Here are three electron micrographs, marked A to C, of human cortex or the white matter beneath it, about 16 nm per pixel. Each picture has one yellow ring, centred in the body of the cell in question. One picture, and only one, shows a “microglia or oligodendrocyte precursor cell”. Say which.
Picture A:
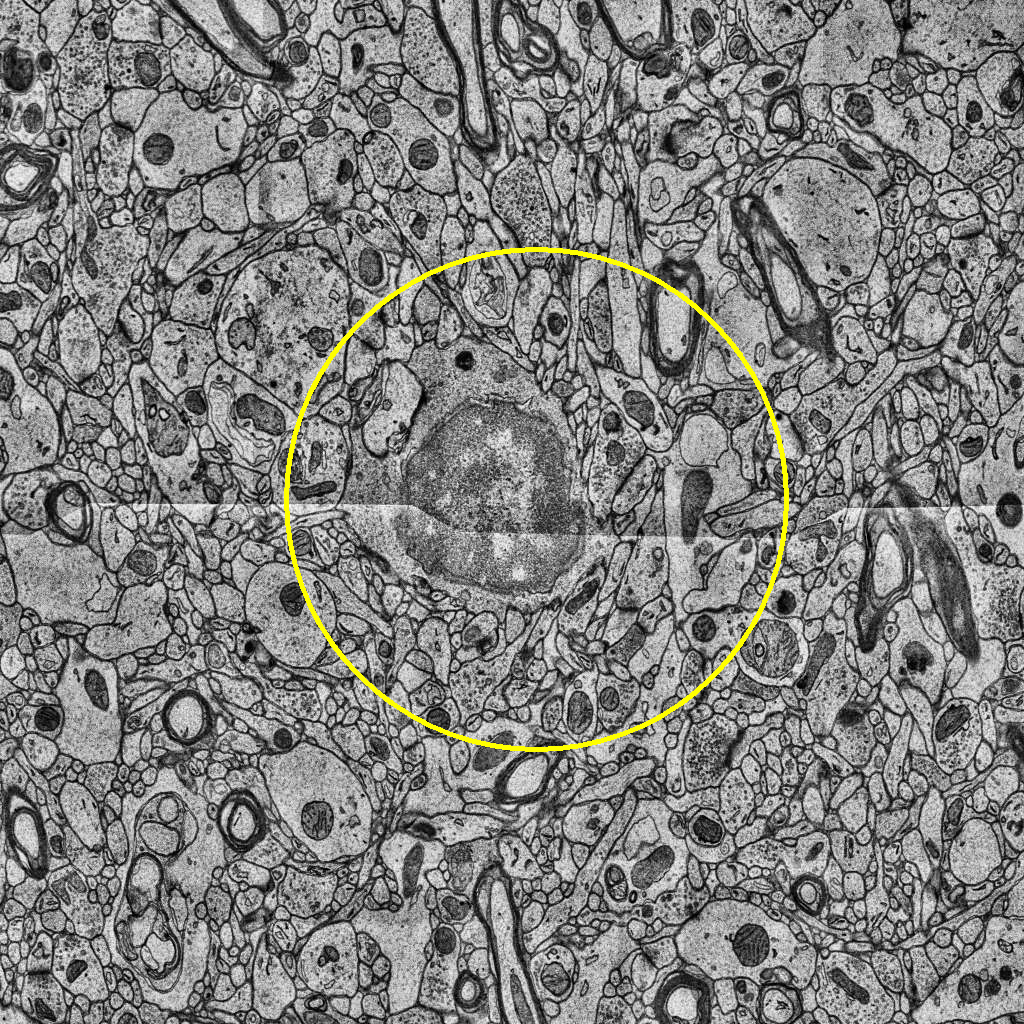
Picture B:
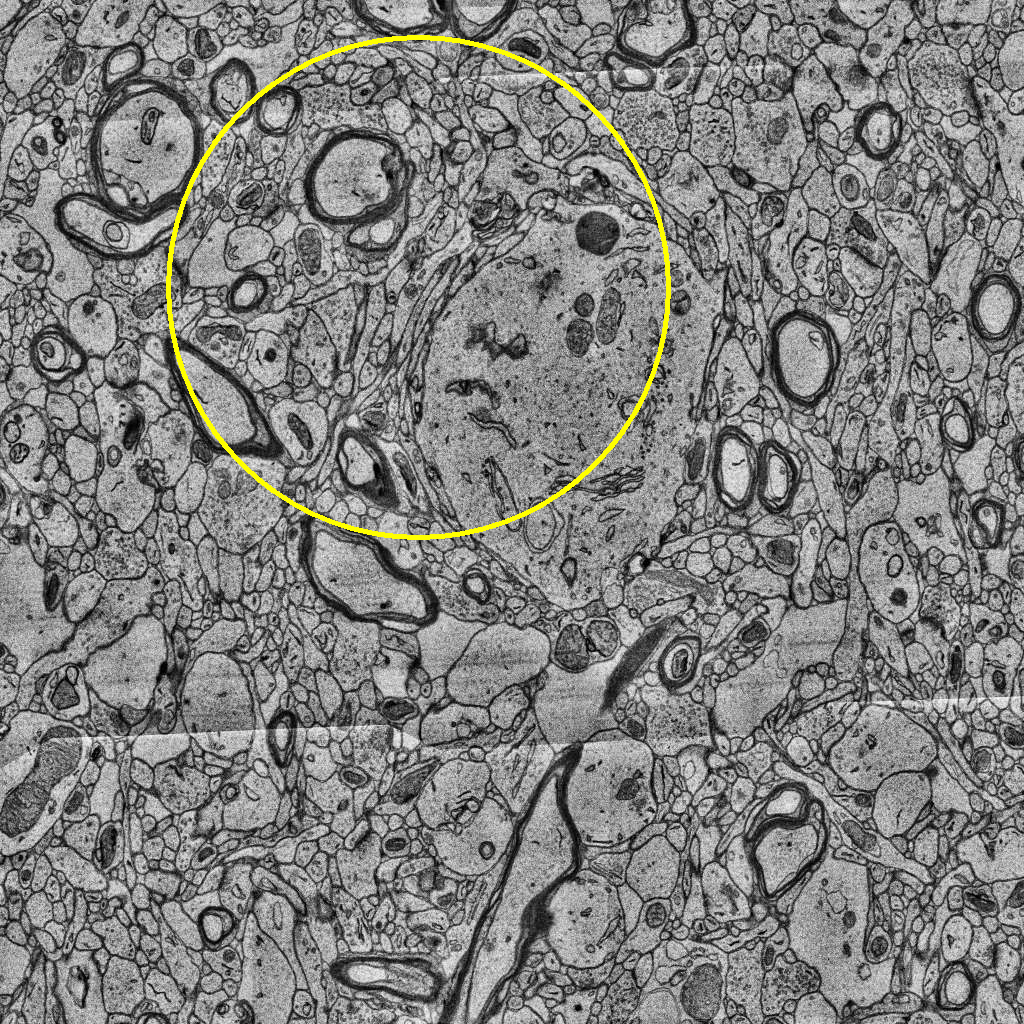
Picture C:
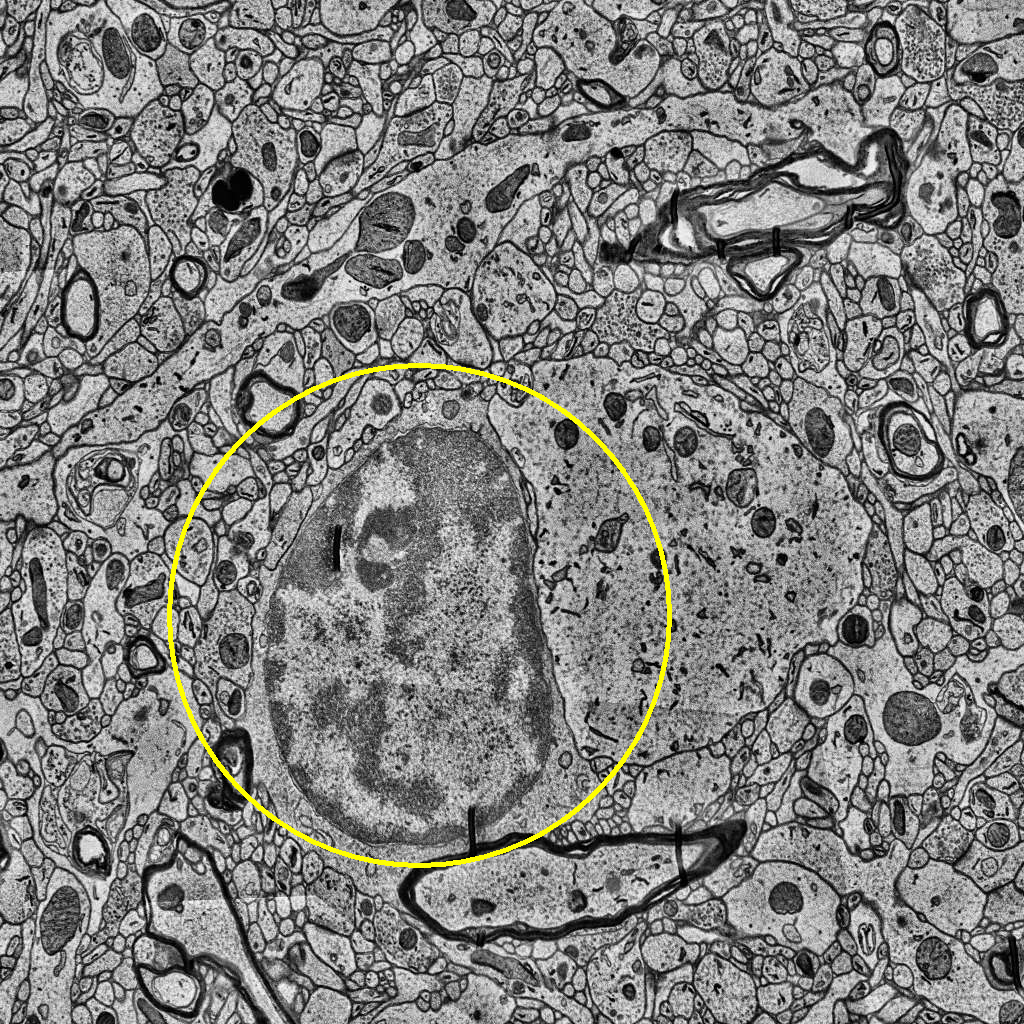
The cell in picture B is the “microglia or oligodendrocyte precursor cell”.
